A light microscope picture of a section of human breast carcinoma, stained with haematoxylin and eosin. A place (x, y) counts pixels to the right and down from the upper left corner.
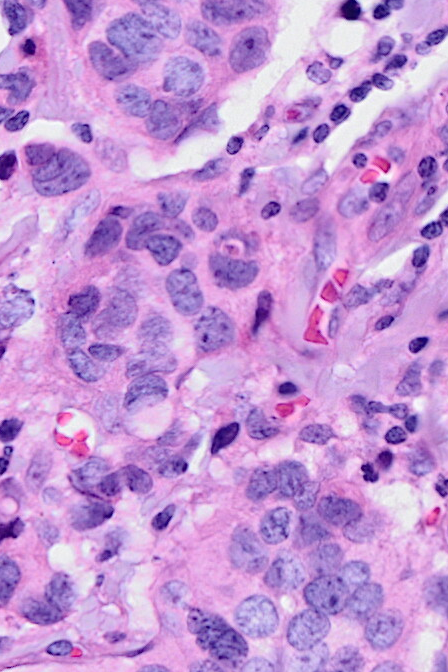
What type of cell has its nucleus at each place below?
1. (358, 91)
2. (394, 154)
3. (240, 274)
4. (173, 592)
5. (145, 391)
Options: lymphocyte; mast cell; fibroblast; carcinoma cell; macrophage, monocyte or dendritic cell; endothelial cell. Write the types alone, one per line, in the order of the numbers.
lymphocyte
endothelial cell
carcinoma cell
carcinoma cell
carcinoma cell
